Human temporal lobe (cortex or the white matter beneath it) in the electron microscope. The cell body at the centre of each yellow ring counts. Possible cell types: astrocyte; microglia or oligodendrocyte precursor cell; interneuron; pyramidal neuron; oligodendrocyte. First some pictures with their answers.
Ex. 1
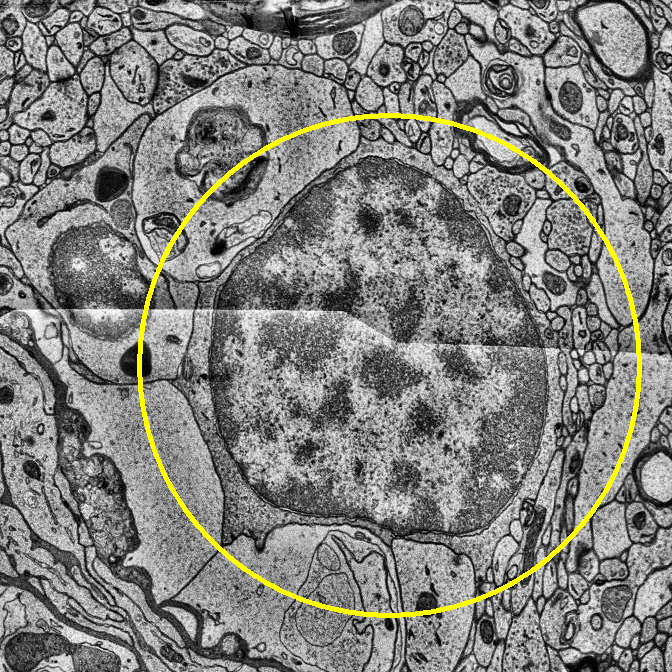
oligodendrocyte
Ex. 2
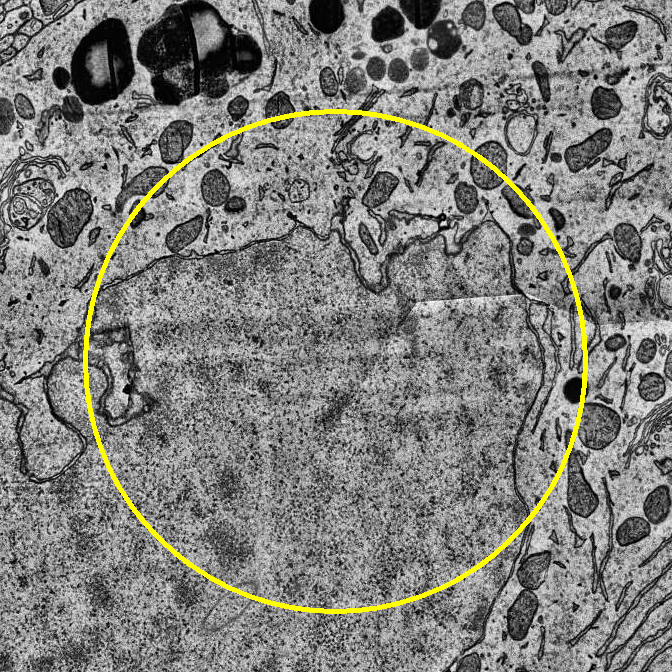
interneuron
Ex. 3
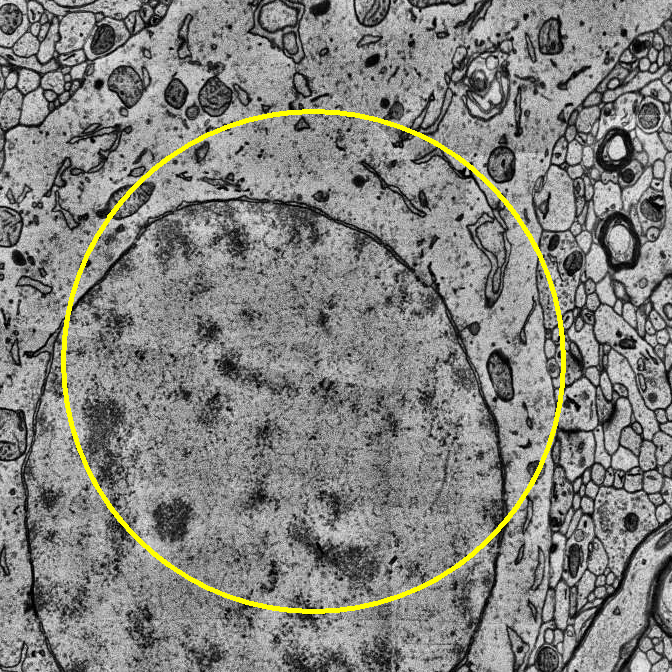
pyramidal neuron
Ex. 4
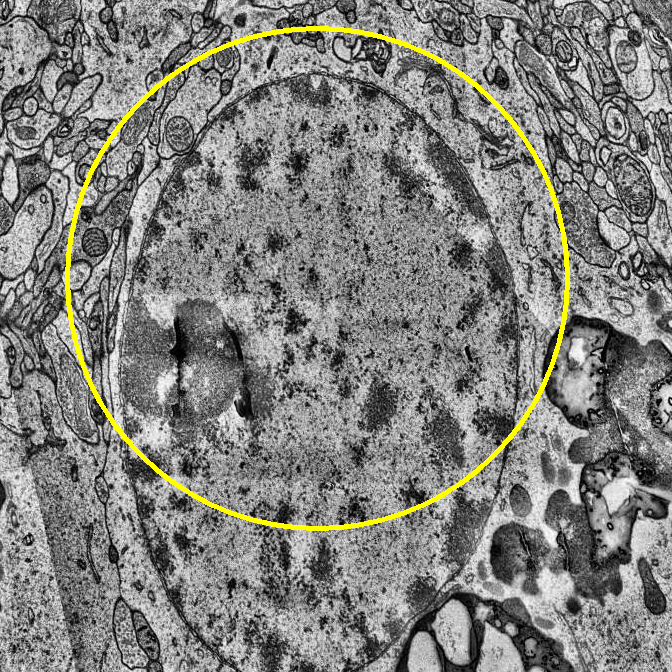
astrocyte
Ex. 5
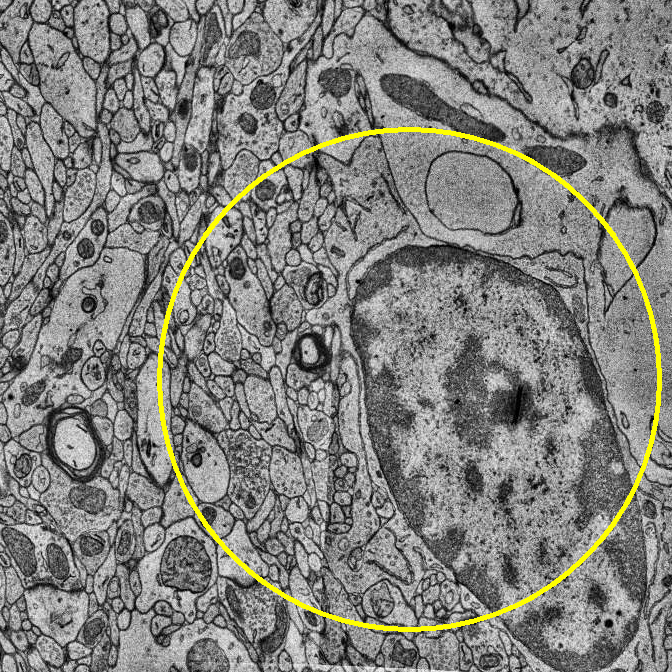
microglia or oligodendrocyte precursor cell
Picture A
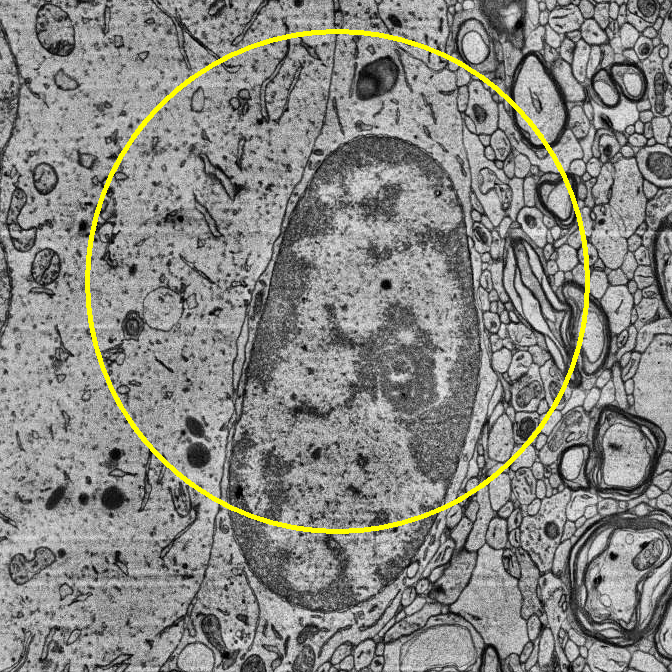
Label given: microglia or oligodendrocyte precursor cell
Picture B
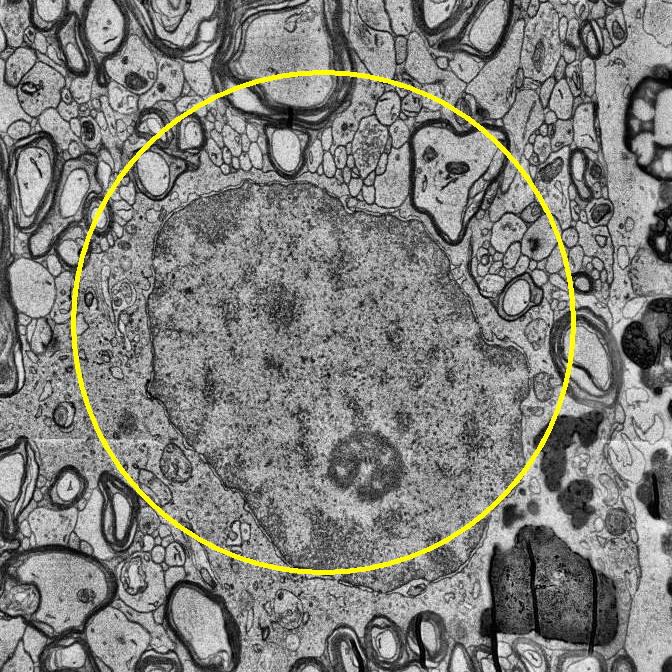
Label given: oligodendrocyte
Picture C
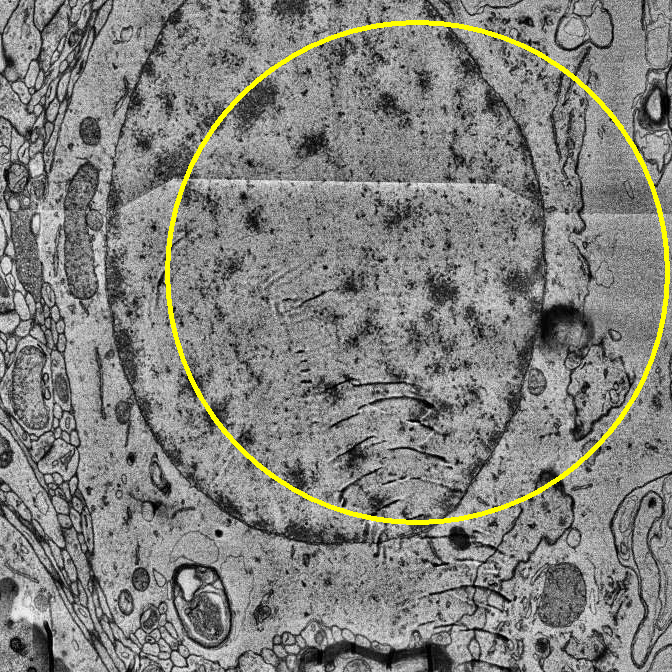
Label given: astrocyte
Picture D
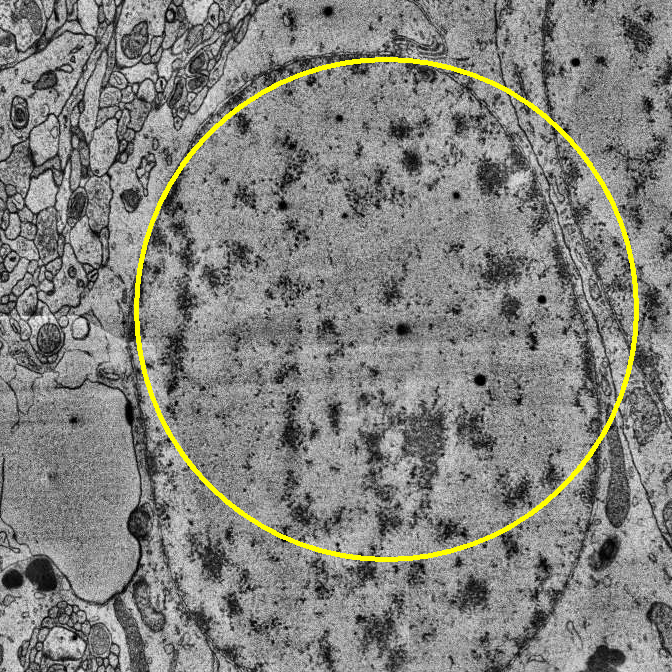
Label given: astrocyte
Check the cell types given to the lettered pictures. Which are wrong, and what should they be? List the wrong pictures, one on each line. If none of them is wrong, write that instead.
No label is wrong.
